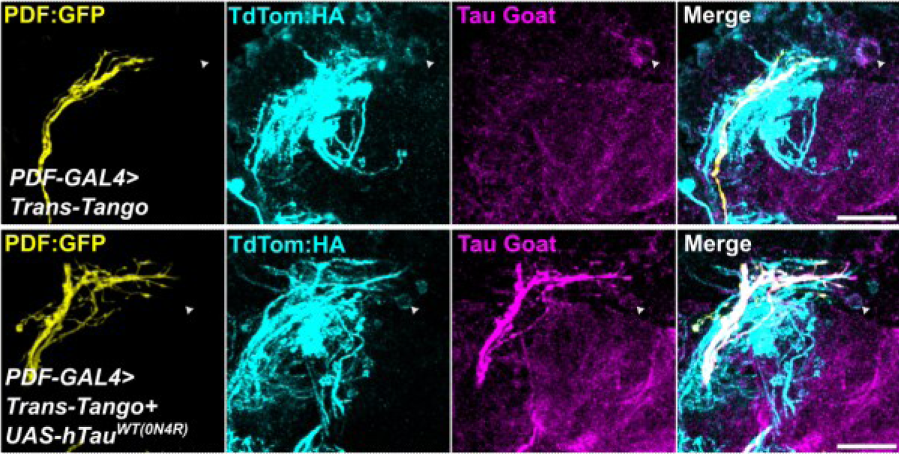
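Dense cyan processes form a tangled mass around these branches, with a few round cyan profiles nearby. The magenta channel shows faint, diffuse background. In the lower row a strong magenta fibre bundle follows the yellow fibres, appearing white where they overlap.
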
